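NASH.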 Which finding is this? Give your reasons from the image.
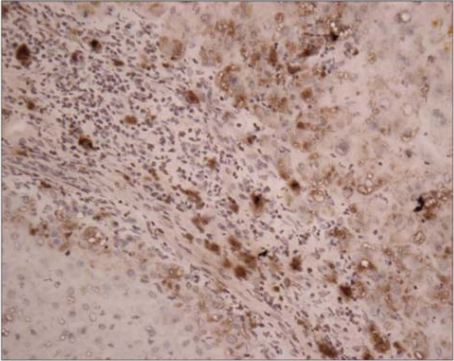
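Inflammatory infiltrate. A diagonal band crowded with small and elongated dark nuclei crosses the field. Scattered cells in and beside the band stain dark brown.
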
